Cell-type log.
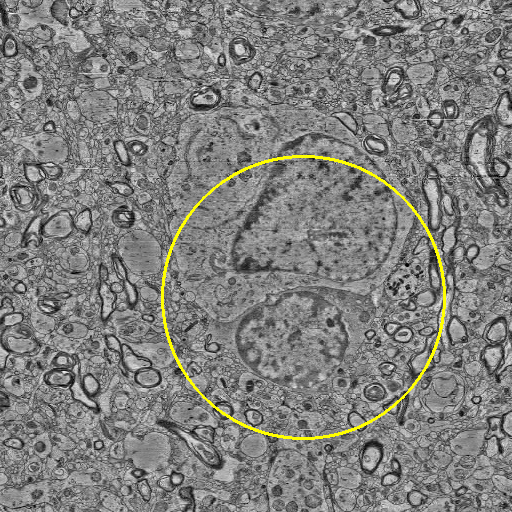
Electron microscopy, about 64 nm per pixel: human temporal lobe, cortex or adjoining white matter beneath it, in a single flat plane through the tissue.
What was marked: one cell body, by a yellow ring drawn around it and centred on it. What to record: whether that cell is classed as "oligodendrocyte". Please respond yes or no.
Yes, the cell is classed that way.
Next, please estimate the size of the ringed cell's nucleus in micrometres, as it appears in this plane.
The nucleus comes to roughly 7 by 6 micrometres in this plane.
